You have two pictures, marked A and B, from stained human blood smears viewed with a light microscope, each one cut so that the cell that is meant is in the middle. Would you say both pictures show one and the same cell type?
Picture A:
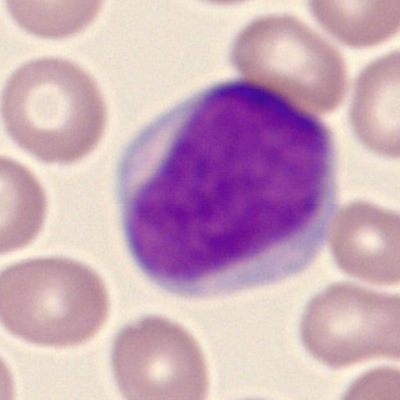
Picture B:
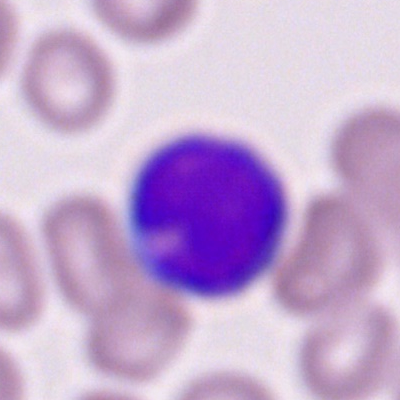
yes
